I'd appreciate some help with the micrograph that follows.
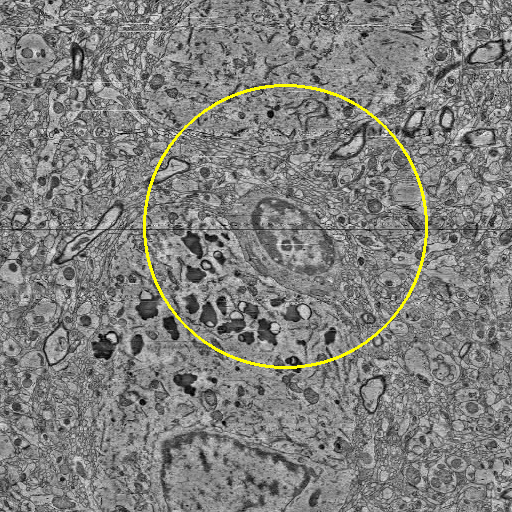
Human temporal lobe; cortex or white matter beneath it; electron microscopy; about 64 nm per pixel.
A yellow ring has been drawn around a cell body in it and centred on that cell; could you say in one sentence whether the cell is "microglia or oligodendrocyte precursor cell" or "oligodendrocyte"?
It is an oligodendrocyte at the centre of the ring.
